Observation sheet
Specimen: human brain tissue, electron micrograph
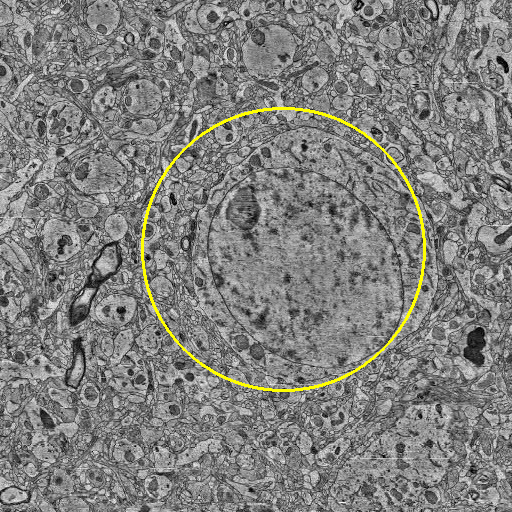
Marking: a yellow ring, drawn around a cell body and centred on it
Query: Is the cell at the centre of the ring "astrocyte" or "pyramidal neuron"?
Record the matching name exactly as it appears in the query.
pyramidal neuron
